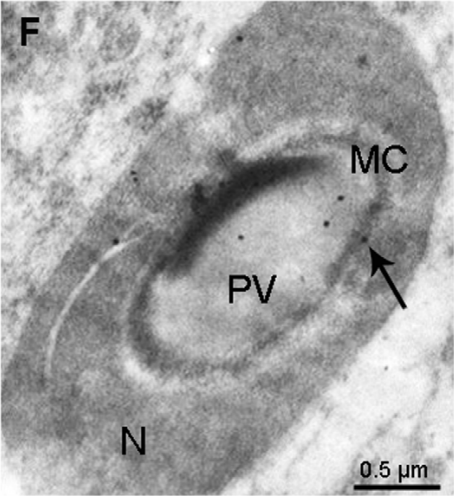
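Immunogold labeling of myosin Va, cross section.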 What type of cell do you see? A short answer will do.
Mid stage spermatid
